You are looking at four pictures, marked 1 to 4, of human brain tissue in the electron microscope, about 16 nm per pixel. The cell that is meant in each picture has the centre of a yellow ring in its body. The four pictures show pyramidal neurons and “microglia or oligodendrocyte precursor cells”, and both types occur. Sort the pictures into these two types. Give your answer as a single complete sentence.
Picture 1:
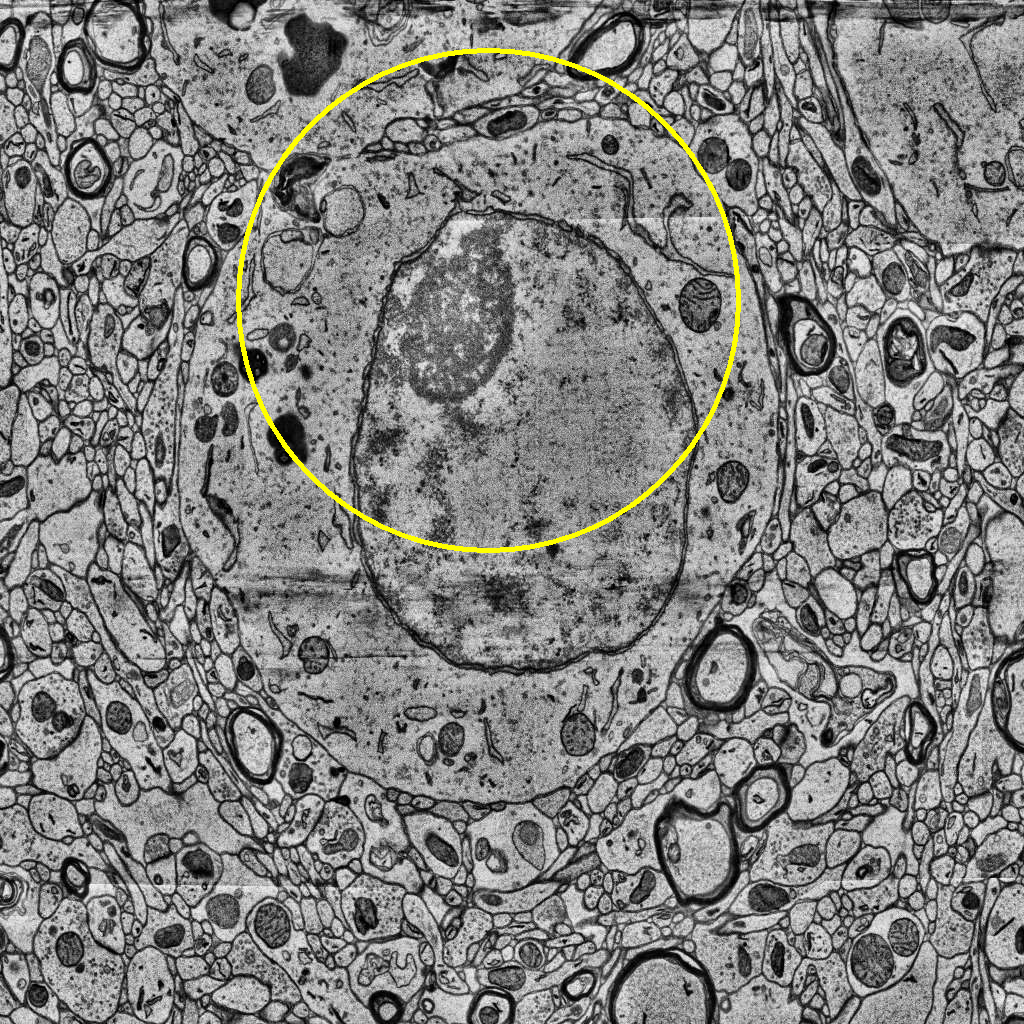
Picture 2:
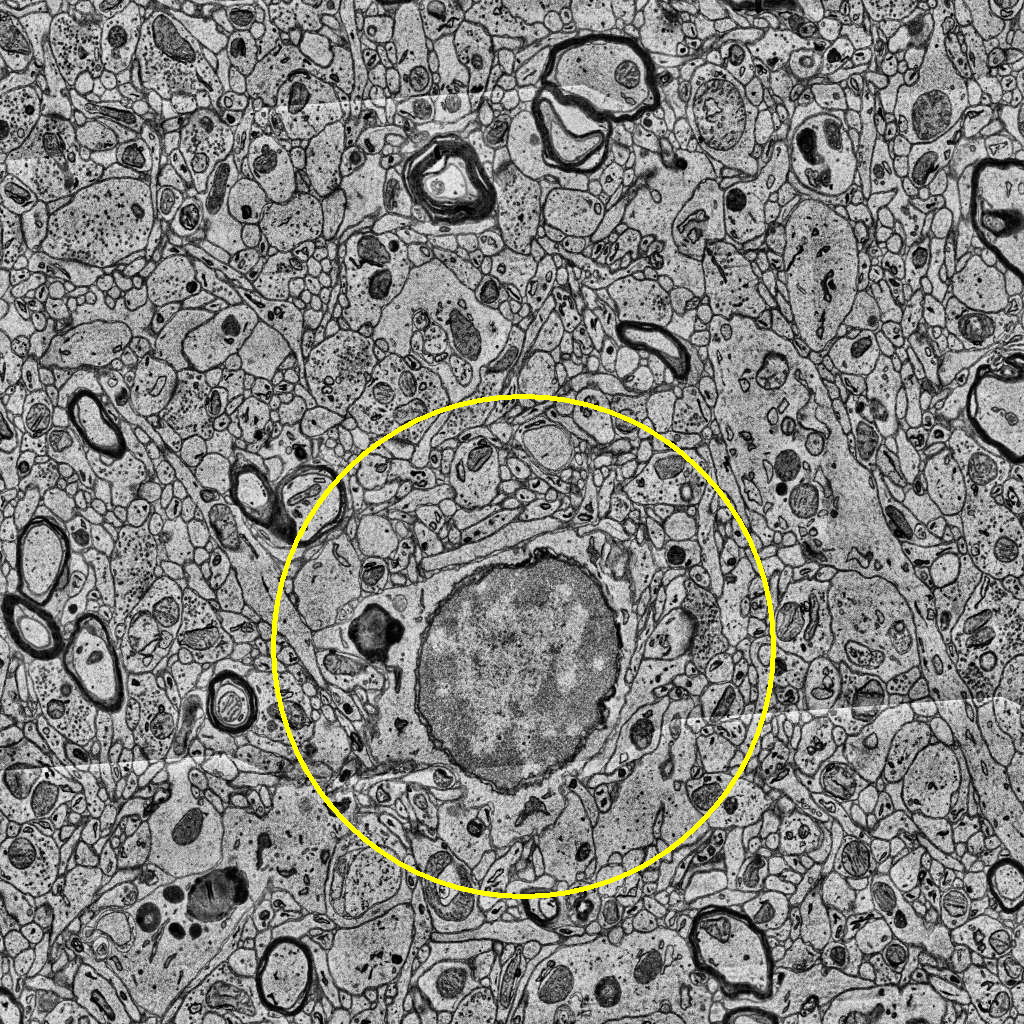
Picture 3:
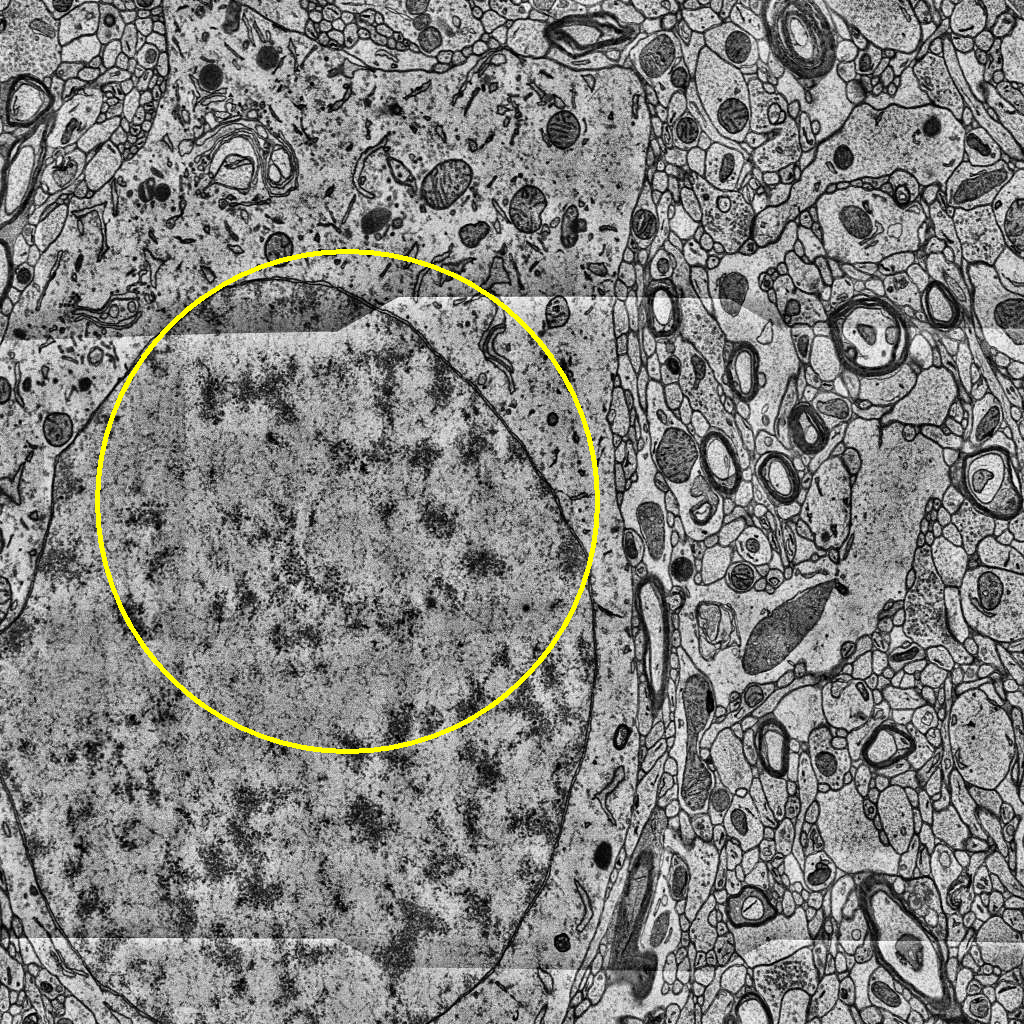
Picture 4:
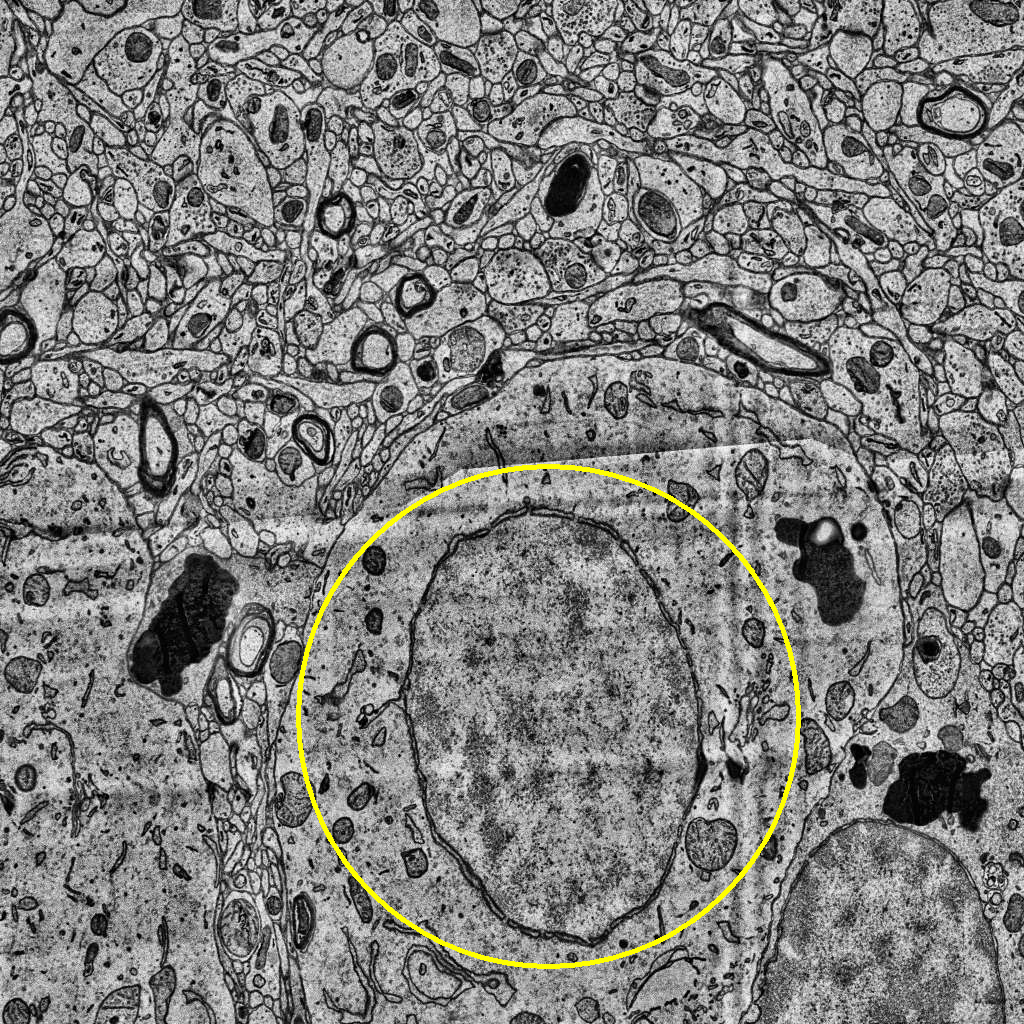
Pictures 1, 3 and 4 show pyramidal neurons, while picture 2 shows a “microglia or oligodendrocyte precursor cell”.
